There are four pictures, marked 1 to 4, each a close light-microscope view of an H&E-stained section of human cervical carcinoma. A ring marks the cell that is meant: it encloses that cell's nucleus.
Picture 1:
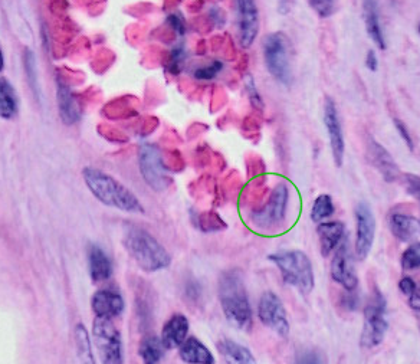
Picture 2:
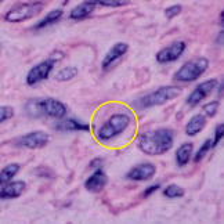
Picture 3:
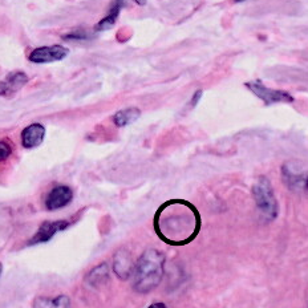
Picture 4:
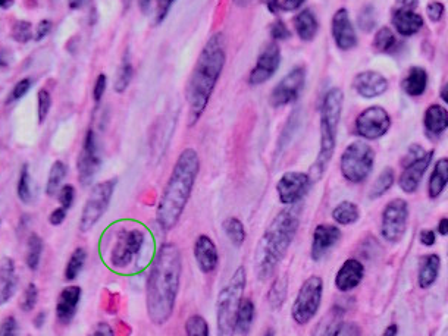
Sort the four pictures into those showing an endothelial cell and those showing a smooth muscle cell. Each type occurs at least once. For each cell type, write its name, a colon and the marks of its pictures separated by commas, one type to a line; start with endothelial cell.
endothelial cell: 1, 4
smooth muscle cell: 2, 3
